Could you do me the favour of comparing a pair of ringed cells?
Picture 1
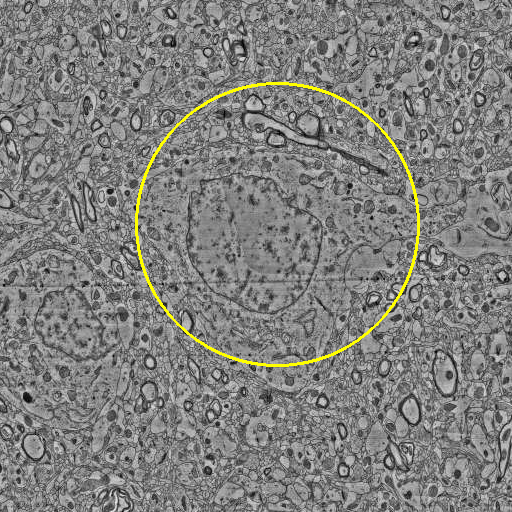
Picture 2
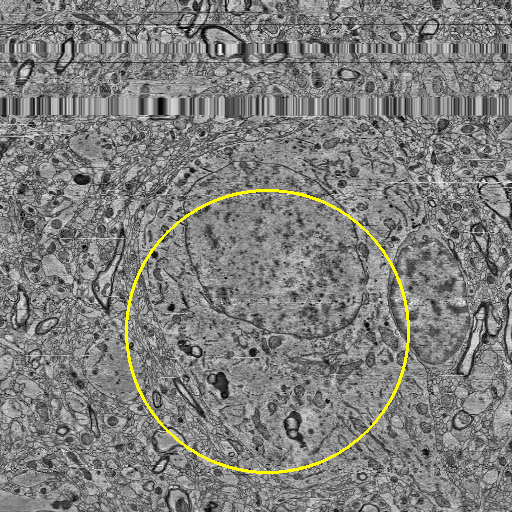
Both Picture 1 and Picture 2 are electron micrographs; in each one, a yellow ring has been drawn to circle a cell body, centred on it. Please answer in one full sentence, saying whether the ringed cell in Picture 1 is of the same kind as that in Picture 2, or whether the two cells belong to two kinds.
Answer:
The ringed cell in Picture 1 is of the same kind as that in Picture 2.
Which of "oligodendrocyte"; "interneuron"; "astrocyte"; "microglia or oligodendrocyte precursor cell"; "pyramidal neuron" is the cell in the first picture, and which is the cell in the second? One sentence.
The ring centre holds a pyramidal neuron in each of the two pictures.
